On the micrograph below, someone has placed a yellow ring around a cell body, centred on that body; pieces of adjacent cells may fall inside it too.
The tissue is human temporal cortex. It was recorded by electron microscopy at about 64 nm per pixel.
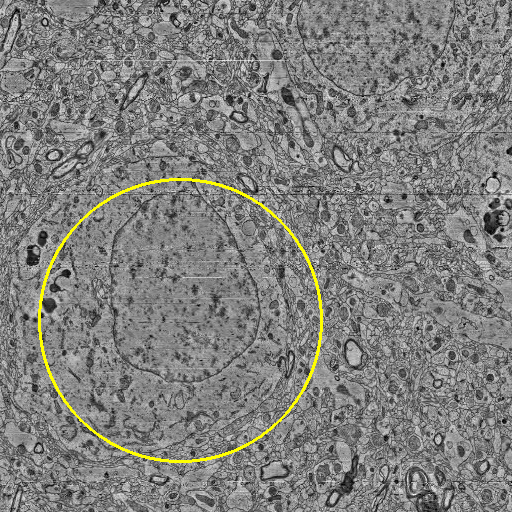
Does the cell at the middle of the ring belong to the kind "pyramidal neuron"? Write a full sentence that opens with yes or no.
Yes, the cell lying at the ring's centre on the micrograph is that kind.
